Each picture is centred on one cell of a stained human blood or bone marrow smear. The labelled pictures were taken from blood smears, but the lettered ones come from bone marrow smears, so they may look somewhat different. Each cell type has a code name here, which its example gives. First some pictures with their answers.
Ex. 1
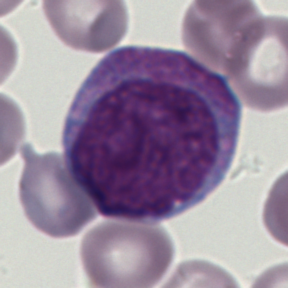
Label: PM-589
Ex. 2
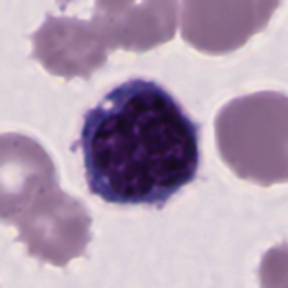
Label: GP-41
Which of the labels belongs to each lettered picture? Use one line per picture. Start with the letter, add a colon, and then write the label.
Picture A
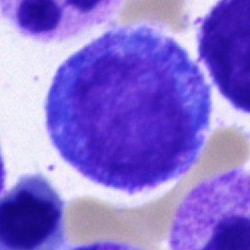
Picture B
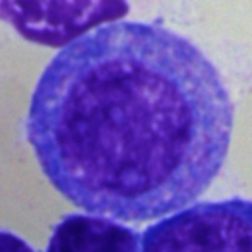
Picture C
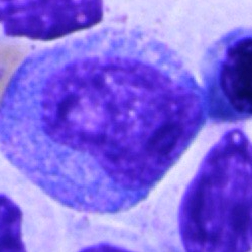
A: PM-589
B: PM-589
C: PM-589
